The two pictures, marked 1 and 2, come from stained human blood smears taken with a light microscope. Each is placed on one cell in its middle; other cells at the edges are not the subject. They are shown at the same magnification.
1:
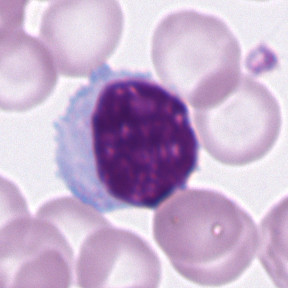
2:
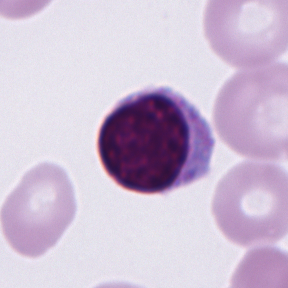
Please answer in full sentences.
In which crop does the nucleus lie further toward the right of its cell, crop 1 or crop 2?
In crop 1 the nucleus is shifted more toward the right.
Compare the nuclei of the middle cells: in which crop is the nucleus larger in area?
It is the nucleus in crop 1, about 1.5 times as large in area as the one in crop 2.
